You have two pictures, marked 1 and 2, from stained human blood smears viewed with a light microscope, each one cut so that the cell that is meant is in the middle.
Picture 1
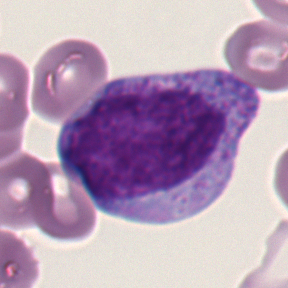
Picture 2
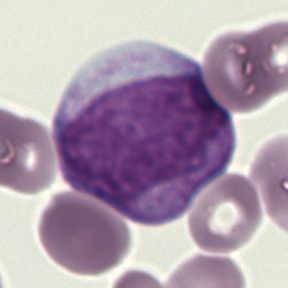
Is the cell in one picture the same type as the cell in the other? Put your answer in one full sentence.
Yes, they are the same type: both are atypical promyelocytes.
